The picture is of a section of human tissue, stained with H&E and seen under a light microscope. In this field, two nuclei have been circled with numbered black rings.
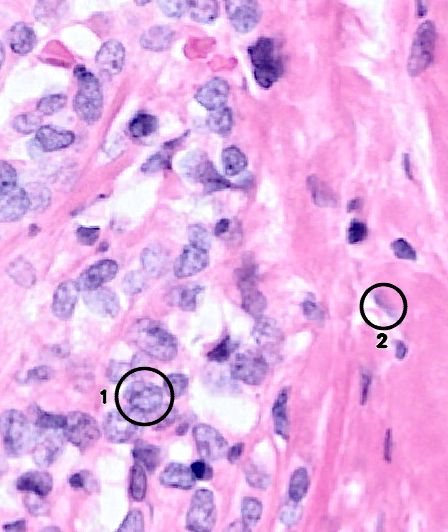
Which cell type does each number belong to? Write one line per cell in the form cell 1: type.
cell 1: carcinoma cell
cell 2: fibroblast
